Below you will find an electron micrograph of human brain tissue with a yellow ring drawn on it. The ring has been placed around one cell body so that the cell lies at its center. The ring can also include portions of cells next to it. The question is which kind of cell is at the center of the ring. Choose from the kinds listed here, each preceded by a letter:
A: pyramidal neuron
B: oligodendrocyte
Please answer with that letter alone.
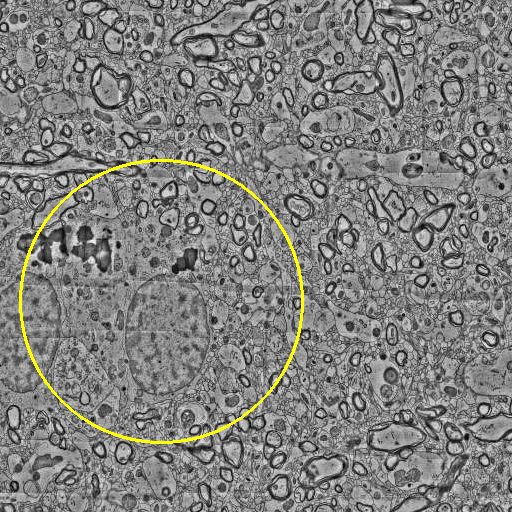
B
